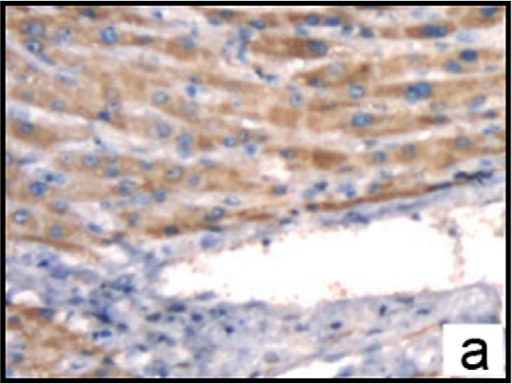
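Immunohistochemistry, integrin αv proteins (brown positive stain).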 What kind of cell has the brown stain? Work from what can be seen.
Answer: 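Large polygonal cells with round, centrally placed blue nuclei. Cells are arranged in cords or plates running across the field. A vascular space lies in the lower part of the field. That points to this answer: hepatocytes.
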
